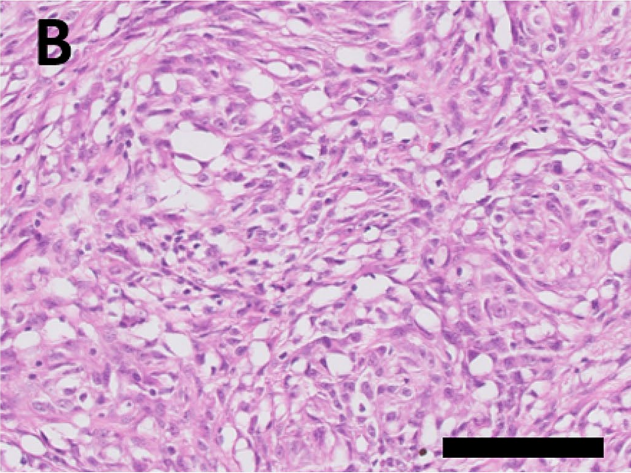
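This is a densely cellular tumour of spindle to plump neoplastic cells with oval nuclei and pale pink cytoplasm. The cells run in short, interlacing streams and rounded aggregates that cross and whorl against one another. Only sparse delicate stroma with small clear spaces lies between the groups, and no dark pigment is evident.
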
